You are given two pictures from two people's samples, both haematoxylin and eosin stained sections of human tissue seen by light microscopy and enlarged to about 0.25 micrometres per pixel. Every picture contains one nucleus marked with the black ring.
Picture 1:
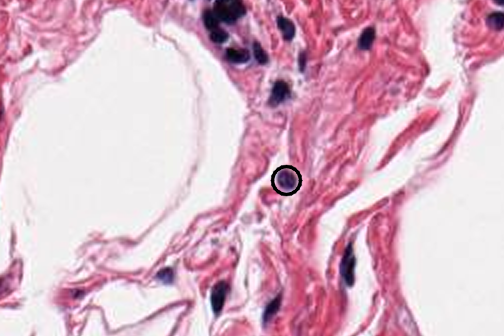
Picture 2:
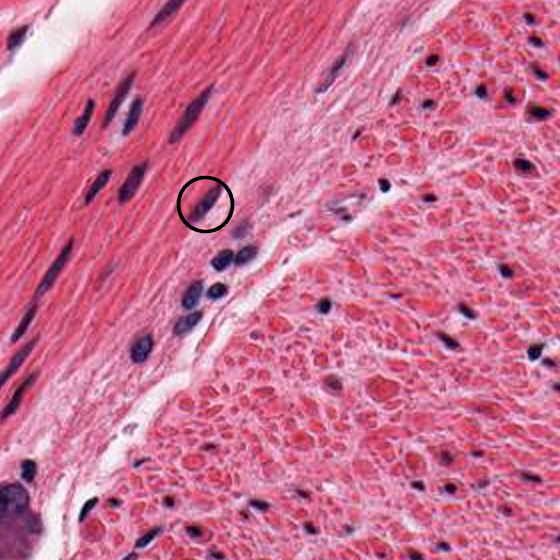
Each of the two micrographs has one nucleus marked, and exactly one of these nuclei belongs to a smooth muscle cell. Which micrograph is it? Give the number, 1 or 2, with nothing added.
2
